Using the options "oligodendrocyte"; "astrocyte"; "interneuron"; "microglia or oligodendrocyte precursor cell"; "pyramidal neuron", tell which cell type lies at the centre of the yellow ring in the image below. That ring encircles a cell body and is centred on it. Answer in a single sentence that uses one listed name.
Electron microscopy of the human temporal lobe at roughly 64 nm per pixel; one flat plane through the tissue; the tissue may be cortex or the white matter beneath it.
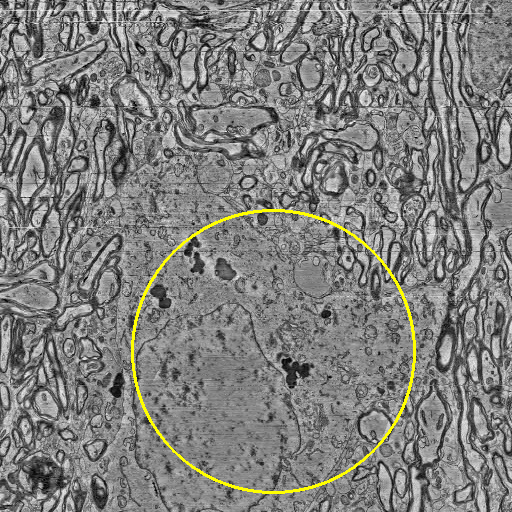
At the centre of the yellow ring lies the body of a pyramidal neuron.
